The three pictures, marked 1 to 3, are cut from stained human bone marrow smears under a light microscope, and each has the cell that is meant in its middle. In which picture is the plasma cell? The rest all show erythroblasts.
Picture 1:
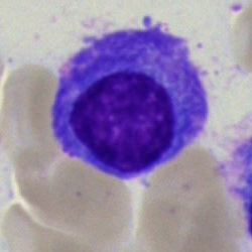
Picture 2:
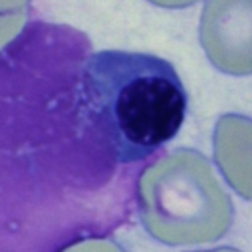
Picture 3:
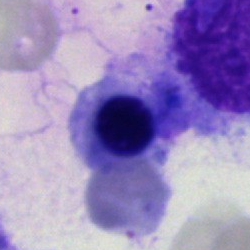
1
